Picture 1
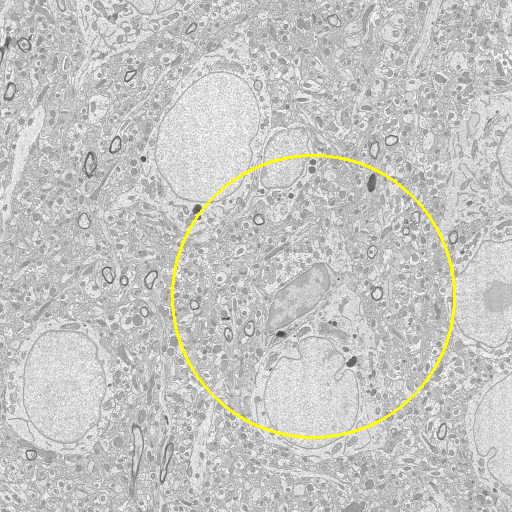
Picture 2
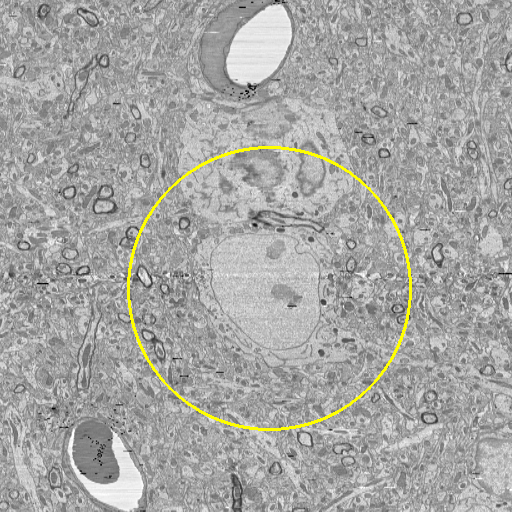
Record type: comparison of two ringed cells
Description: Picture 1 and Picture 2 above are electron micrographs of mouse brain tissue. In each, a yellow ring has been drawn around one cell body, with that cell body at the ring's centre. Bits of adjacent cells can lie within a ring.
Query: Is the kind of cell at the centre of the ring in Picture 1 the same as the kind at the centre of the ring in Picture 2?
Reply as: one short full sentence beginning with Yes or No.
No, the two ringed cells are of two separate kinds.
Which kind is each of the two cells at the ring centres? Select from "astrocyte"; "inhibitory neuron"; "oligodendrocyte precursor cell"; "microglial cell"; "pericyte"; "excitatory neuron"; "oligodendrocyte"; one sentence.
The cell at the centre of the ring is a microglial cell in the first picture and an excitatory neuron in the second.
